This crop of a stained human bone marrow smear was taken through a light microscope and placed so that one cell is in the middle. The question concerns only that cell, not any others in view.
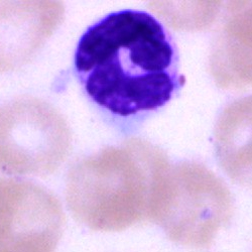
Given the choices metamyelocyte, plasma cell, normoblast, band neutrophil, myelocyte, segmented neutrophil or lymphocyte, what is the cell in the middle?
segmented neutrophil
